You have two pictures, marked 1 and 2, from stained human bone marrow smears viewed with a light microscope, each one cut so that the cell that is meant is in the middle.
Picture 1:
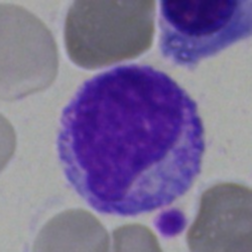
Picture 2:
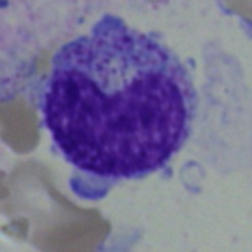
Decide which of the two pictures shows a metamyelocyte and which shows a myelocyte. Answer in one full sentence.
Picture 2 shows a metamyelocyte, while picture 1 shows a myelocyte.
